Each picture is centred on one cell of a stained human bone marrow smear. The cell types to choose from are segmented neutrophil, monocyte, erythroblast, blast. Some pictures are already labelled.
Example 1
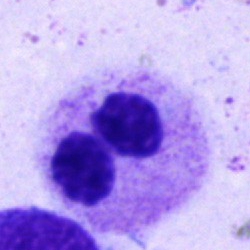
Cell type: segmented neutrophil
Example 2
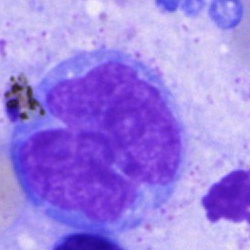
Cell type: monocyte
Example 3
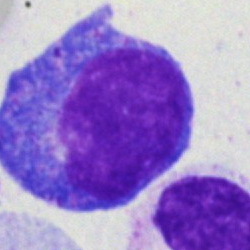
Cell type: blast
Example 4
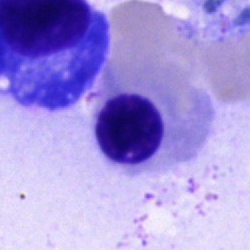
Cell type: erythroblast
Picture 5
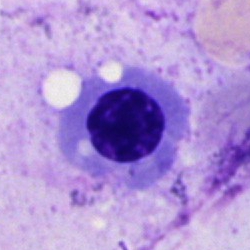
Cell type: erythroblast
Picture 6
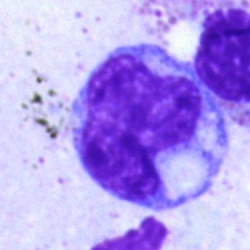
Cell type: monocyte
